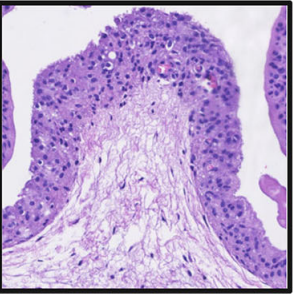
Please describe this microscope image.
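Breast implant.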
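This shows the inner surface of a capsule lined by synovial-like metaplasia over a loose stroma. The surface forms a finger-like fold covered by a lining several cells thick. The lining cells are plump, with round to oval purple nuclei and pink cytoplasm, loosely arranged rather than forming an orderly epithelium. Beneath and within the fold lies pale, wispy connective tissue with only a few scattered nuclei. A few small red blood cells are visible near the lining.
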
